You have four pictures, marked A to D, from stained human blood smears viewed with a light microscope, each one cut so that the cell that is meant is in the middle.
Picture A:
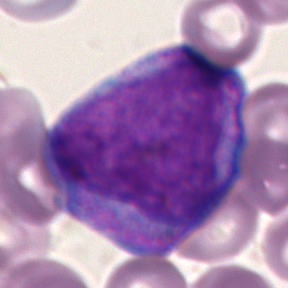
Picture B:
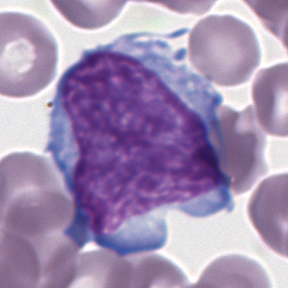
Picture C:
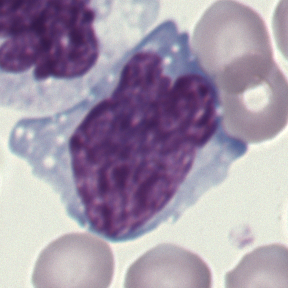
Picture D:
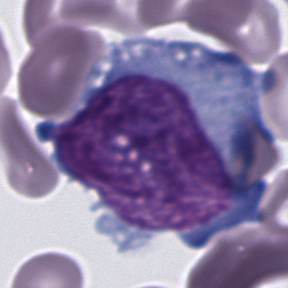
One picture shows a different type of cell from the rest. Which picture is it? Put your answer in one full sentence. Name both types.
Picture A is the odd one out: it shows a promyelocyte, while the others show myeloblasts.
